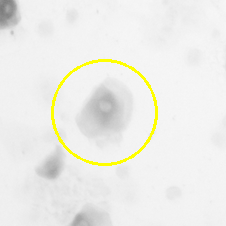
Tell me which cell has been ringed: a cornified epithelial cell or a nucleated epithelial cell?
It is a nucleated epithelial cell.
